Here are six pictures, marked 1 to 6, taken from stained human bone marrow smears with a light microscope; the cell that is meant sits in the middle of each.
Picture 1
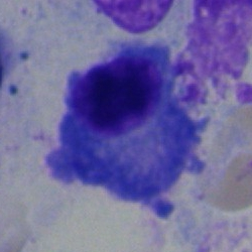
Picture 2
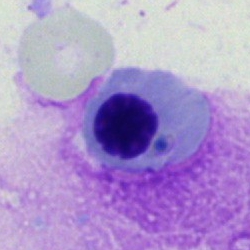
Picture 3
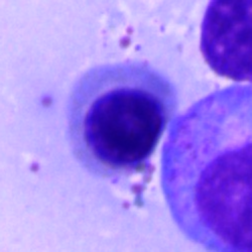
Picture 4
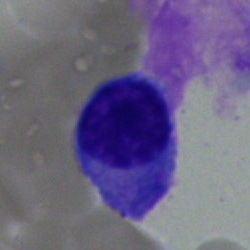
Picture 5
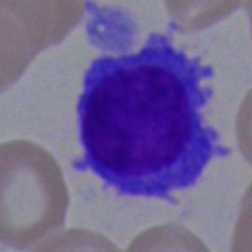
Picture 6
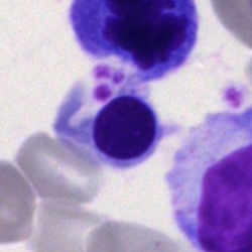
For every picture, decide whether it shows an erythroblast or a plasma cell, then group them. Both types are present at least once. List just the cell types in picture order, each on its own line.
plasma cell
erythroblast
erythroblast
plasma cell
plasma cell
erythroblast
